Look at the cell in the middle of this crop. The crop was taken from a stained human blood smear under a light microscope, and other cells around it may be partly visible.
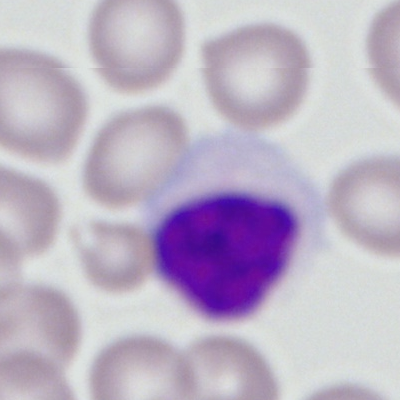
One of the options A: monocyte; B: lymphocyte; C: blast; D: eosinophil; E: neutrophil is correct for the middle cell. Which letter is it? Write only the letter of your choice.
B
